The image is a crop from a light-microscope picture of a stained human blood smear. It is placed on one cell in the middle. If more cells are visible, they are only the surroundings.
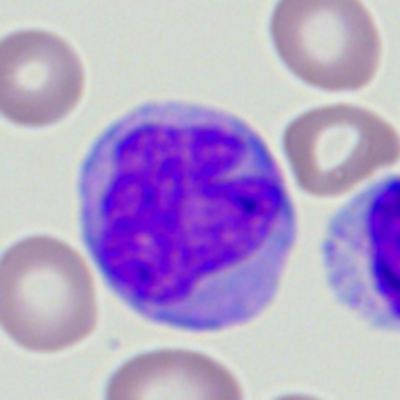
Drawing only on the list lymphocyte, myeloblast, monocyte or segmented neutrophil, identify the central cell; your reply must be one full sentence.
The middle cell in this particular crop is a monocyte.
